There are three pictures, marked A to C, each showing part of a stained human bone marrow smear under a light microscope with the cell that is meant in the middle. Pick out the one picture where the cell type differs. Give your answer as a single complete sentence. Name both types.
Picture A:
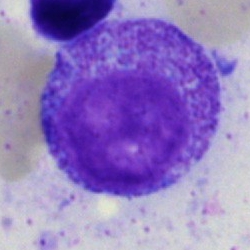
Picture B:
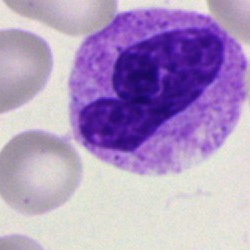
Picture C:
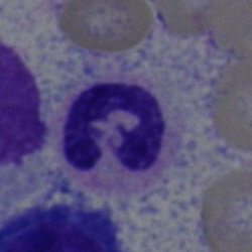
The others show segmented neutrophils, but picture A shows a myelocyte.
